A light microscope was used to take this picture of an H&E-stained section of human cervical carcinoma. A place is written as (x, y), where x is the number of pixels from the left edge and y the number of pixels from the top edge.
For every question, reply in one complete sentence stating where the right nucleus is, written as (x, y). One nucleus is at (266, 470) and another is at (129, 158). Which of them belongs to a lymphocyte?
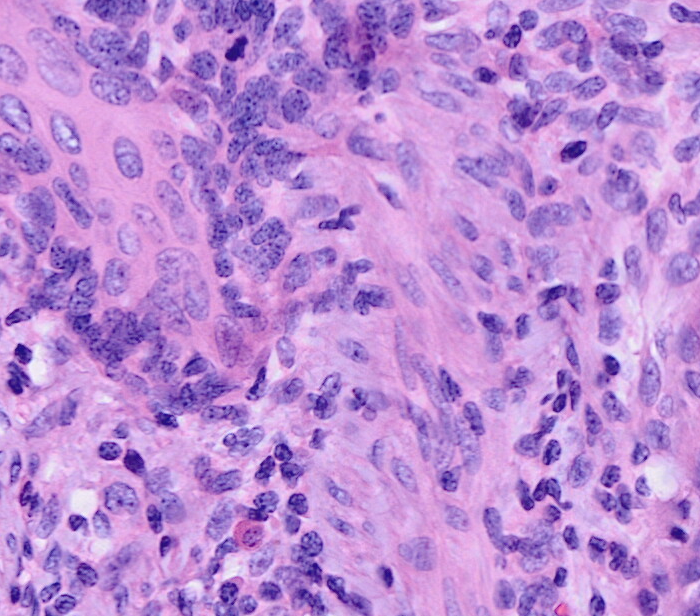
The nucleus of a lymphocyte lies at (266, 470), not at the other position.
